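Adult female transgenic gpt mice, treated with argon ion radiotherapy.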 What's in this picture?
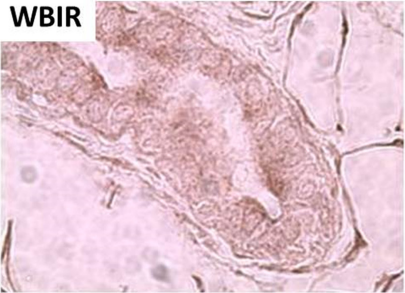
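Here a breast duct is cut along its length, its breast epithelial cells lining a narrow slit-like lumen. The epithelial cells are crowded together with brown-stained cytoplasm and pale oval nuclei, and a thin band of flattened connective tissue cells wraps the duct. Large empty fat cells with thin walls fill the surrounding field.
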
